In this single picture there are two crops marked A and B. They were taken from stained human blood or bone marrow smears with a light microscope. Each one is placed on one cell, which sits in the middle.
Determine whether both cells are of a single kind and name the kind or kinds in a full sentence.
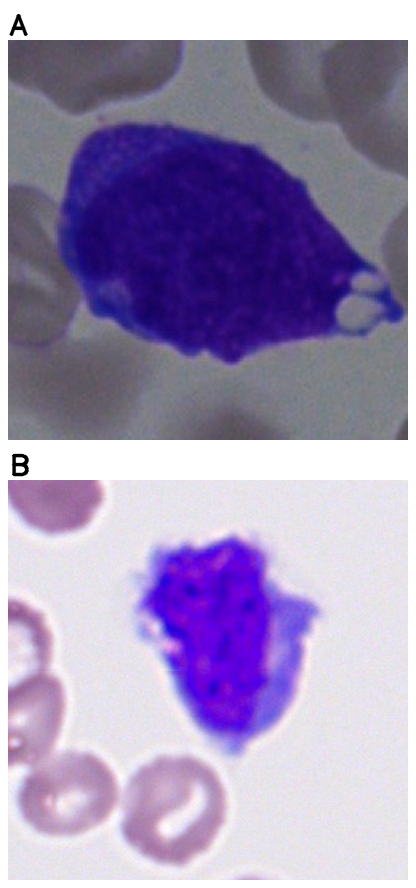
No, crop A contains a blast, while crop B contains a monocyte.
